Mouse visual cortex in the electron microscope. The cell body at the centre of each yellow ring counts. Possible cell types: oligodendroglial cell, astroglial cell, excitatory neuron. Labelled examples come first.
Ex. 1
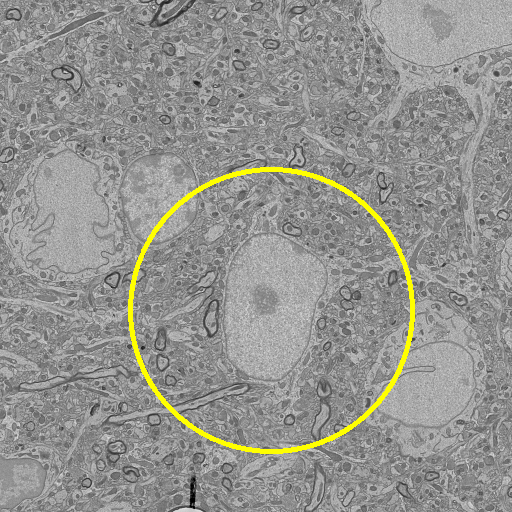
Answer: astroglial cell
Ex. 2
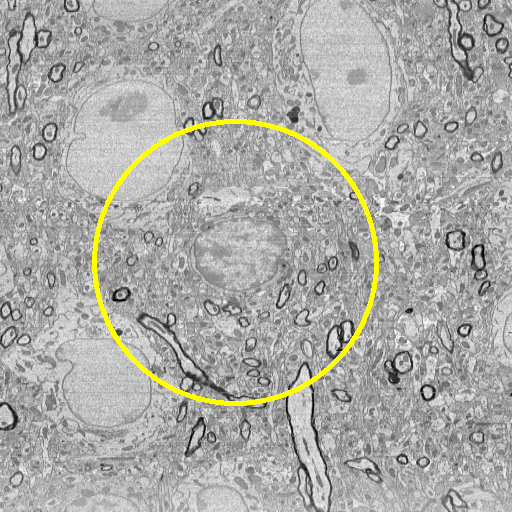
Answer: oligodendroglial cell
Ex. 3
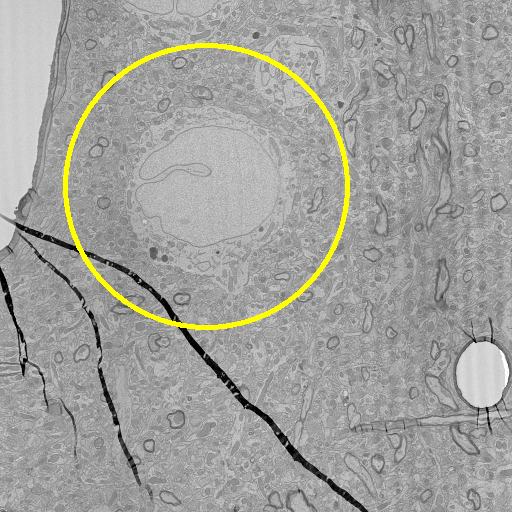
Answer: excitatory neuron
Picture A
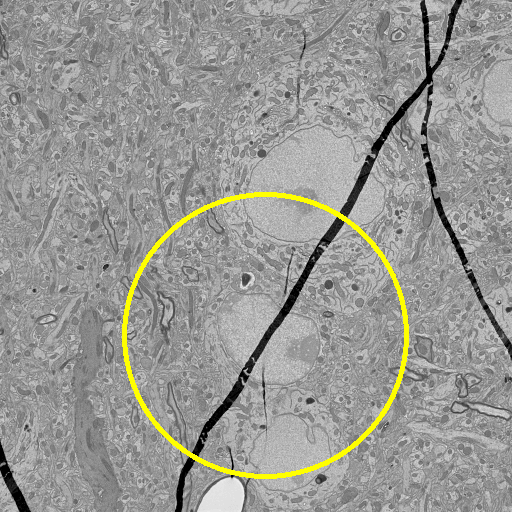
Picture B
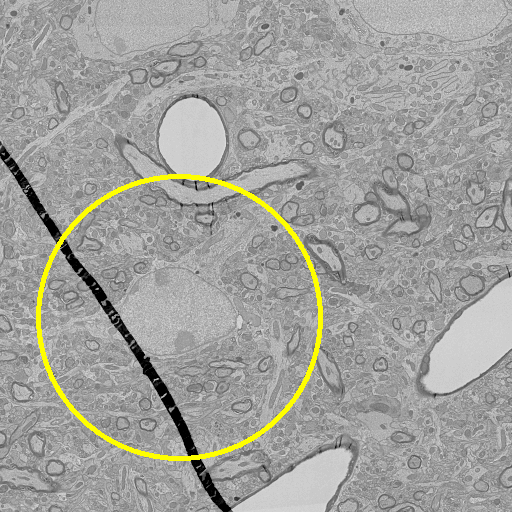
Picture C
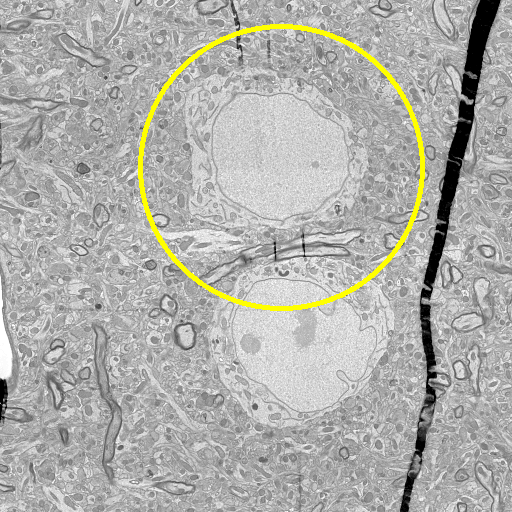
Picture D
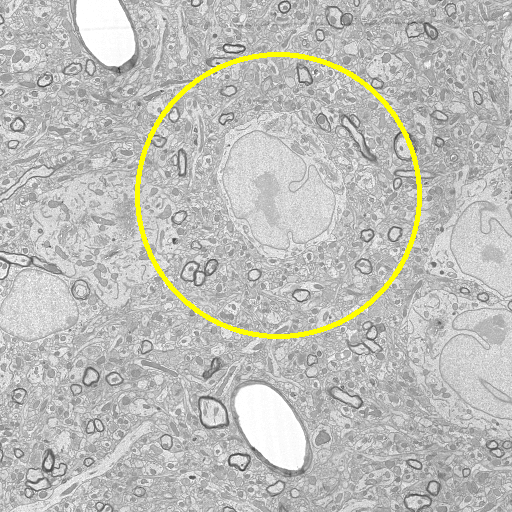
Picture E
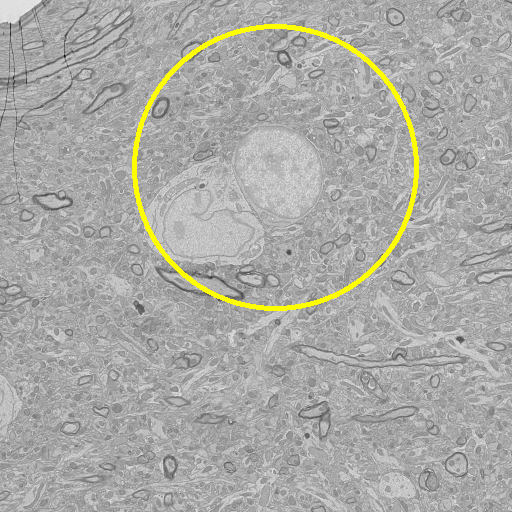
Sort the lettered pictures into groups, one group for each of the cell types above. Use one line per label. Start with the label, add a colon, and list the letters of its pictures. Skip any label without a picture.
oligodendroglial cell: E
astroglial cell: A, B
excitatory neuron: C, D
